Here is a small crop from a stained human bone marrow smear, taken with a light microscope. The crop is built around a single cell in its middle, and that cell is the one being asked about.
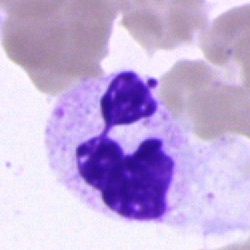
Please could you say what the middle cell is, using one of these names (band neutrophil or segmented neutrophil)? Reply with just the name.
segmented neutrophil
